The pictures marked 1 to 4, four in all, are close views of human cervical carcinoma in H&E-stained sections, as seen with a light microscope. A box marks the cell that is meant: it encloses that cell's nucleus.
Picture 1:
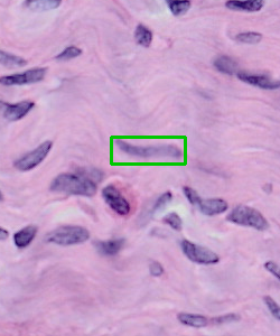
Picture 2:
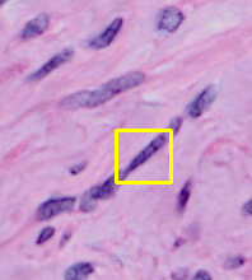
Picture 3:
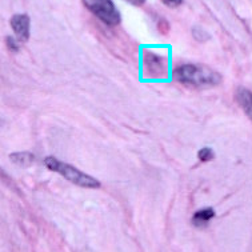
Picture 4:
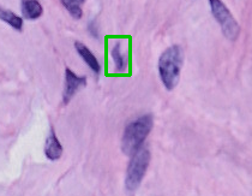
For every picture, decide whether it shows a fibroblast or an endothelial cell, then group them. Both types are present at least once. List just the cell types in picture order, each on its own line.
fibroblast
fibroblast
endothelial cell
fibroblast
